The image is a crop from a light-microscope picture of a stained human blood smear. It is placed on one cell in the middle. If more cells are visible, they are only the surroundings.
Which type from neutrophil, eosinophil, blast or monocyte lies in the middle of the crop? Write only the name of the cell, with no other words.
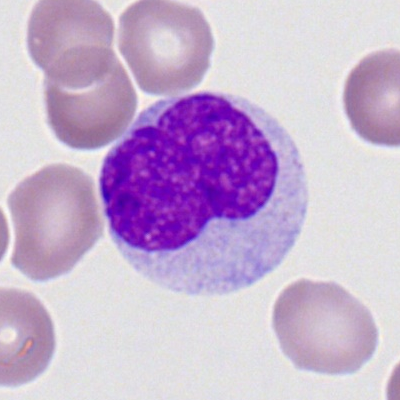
monocyte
